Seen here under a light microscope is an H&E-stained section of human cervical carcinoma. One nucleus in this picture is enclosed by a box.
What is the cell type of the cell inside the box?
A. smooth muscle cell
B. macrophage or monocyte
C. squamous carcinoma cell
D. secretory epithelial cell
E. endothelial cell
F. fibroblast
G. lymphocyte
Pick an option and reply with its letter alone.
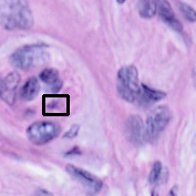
E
